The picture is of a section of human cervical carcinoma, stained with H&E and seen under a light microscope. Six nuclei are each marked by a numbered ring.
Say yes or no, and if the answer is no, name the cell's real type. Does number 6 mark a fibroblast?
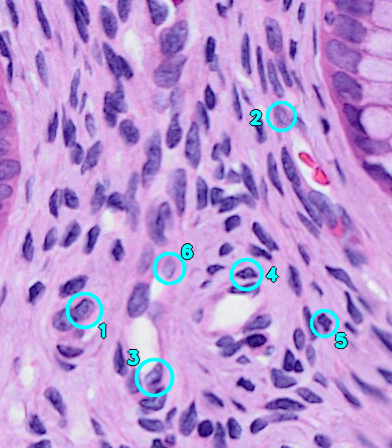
No, it is an endothelial cell.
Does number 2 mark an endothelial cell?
Yes.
